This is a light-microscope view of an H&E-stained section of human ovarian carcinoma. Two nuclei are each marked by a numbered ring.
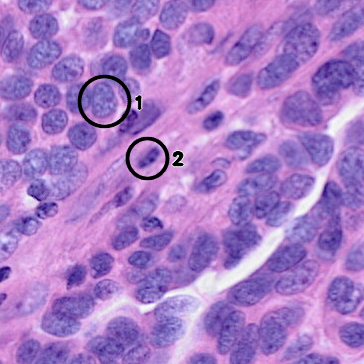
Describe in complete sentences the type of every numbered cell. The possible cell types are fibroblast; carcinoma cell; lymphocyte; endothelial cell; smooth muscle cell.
Cell 1 is a carcinoma cell and cell 2 is a lymphocyte.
